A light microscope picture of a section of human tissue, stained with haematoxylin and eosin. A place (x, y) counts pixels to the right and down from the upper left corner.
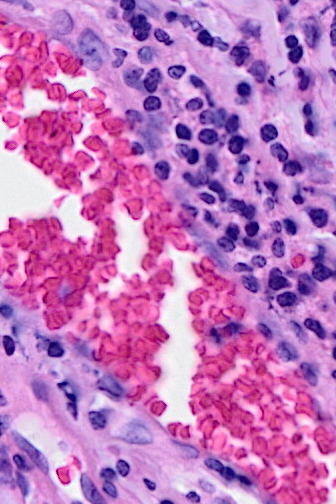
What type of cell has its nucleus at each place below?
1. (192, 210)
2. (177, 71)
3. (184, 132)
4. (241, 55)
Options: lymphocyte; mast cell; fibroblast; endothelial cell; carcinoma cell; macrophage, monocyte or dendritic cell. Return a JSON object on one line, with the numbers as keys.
{"1": "endothelial cell", "2": "lymphocyte", "3": "lymphocyte", "4": "lymphocyte"}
